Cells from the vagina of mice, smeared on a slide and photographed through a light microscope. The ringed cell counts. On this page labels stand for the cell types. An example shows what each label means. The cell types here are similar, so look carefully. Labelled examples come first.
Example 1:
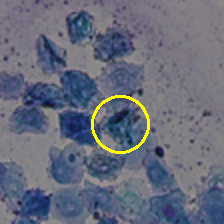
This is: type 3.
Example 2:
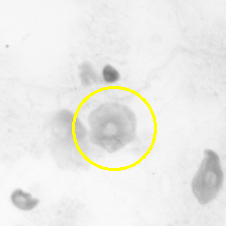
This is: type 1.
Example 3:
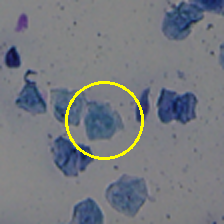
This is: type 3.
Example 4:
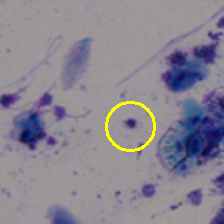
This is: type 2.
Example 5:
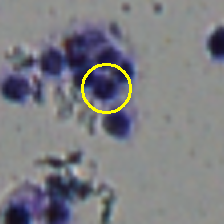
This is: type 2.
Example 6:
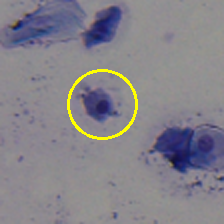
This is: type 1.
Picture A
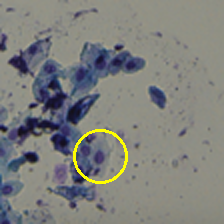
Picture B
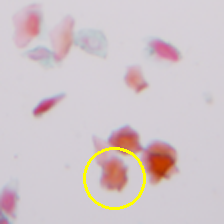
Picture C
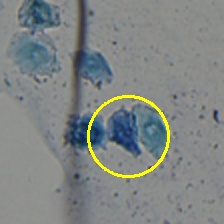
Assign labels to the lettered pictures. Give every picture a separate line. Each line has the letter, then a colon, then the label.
A: type 1.
B: type 3.
C: type 3.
